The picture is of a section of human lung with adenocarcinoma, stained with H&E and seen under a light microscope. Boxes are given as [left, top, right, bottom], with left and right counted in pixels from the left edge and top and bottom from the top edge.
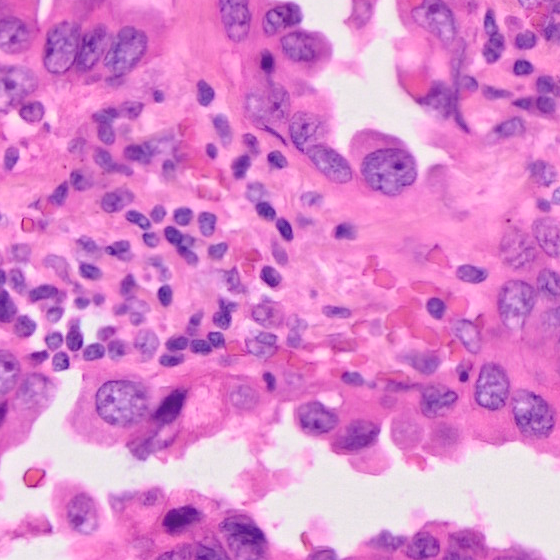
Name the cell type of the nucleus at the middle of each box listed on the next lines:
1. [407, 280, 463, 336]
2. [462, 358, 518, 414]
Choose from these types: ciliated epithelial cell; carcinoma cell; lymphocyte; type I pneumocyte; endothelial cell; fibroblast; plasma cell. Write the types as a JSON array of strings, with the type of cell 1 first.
["lymphocyte", "carcinoma cell"]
